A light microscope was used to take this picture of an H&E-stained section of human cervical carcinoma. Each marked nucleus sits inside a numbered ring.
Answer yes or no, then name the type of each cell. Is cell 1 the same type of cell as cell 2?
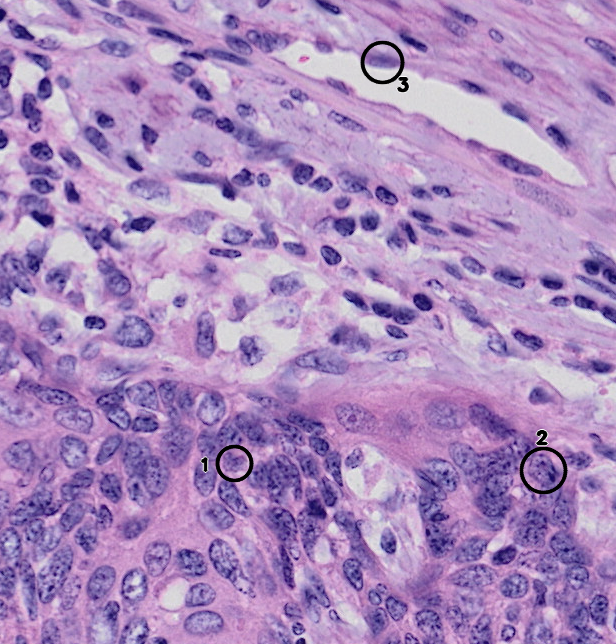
Yes, both cells 1 and 2 are squamous carcinoma cells.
